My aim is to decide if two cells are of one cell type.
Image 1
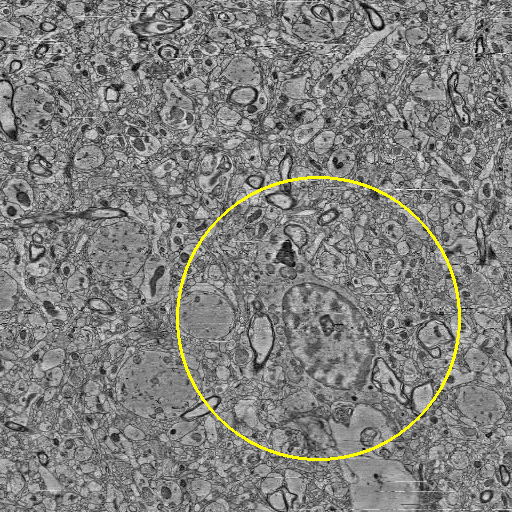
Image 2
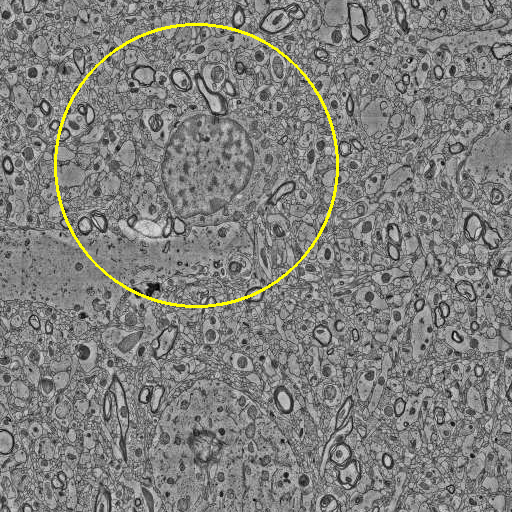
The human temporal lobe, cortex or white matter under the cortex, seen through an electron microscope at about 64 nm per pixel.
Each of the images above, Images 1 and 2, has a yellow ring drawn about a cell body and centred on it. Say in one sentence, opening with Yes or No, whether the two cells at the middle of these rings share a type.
Yes, in Images 1 and 2 the cells at the middle of the rings share one type.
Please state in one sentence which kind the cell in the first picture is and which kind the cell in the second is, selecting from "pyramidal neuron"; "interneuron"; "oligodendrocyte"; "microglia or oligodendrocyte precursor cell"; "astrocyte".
Each cell, in the first picture and the second, is an oligodendrocyte.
